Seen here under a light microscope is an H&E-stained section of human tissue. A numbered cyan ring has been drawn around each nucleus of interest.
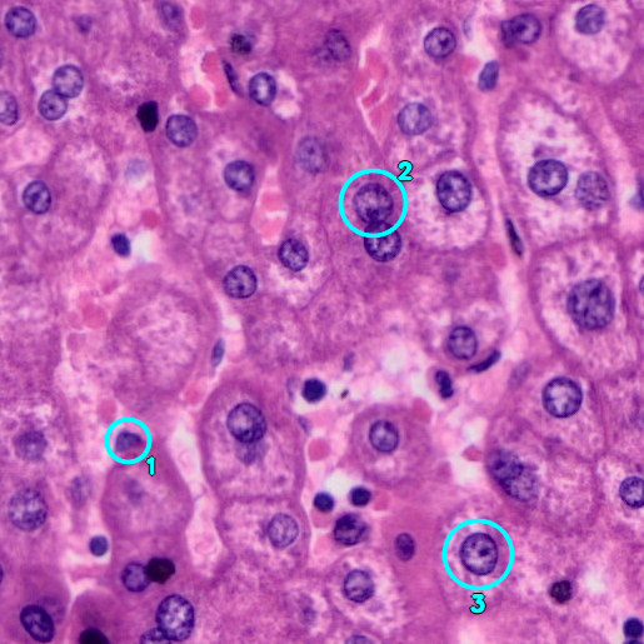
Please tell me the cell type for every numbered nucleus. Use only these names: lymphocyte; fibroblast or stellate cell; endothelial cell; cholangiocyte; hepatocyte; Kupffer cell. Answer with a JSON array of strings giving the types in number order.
["endothelial cell", "hepatocyte", "hepatocyte"]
